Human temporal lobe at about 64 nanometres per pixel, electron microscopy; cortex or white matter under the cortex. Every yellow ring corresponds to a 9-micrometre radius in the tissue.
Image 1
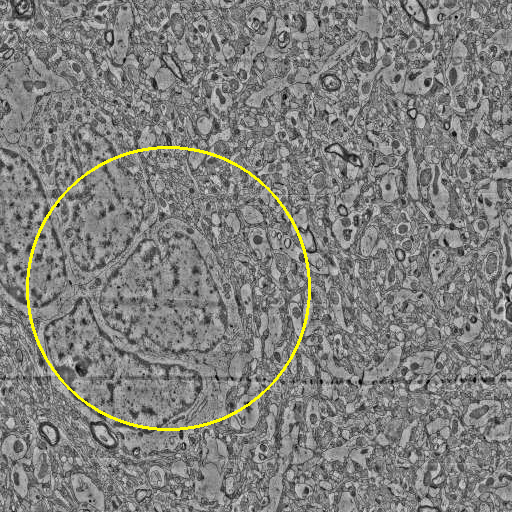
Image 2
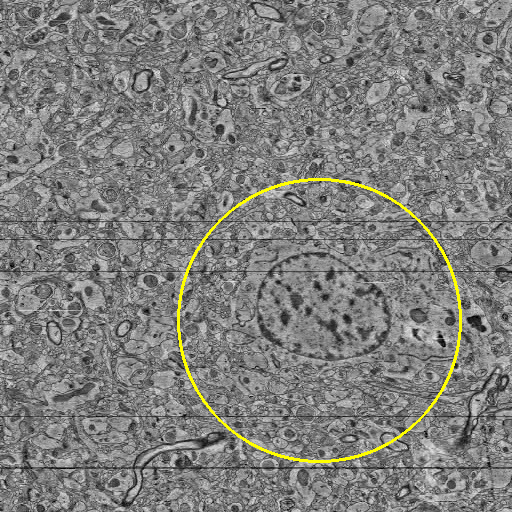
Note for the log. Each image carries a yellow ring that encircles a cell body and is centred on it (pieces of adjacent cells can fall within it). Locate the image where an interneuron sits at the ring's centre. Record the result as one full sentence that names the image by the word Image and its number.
Image 1 has the wanted cell sitting at the centre of its ring.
